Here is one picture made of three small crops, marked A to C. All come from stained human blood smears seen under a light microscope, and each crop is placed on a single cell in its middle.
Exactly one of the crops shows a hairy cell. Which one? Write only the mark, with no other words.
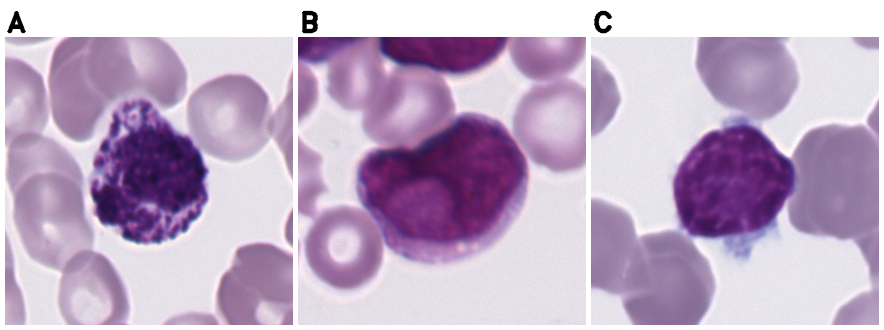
C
